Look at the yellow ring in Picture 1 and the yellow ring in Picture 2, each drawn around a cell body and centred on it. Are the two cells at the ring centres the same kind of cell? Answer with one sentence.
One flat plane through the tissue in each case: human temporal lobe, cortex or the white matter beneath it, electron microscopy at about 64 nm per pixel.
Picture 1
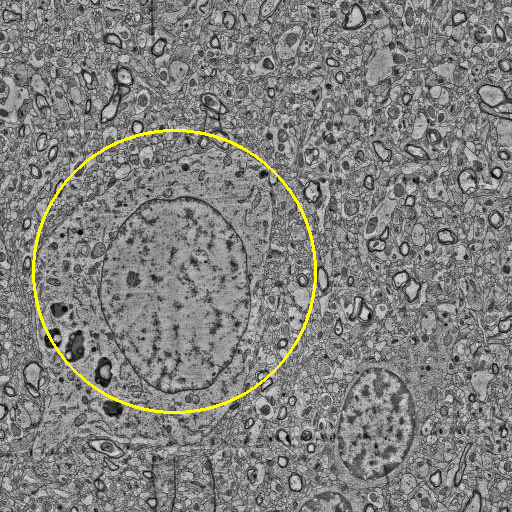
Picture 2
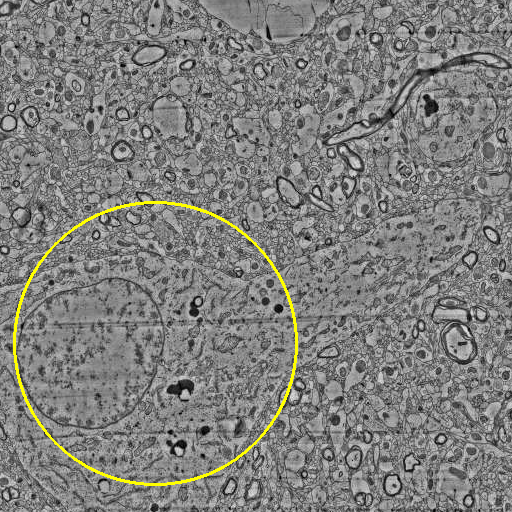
Yes, both are the same kind of cell.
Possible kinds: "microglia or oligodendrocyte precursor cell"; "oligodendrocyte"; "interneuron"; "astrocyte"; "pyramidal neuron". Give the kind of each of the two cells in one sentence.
Both cells are the same kind, each one being a pyramidal neuron.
